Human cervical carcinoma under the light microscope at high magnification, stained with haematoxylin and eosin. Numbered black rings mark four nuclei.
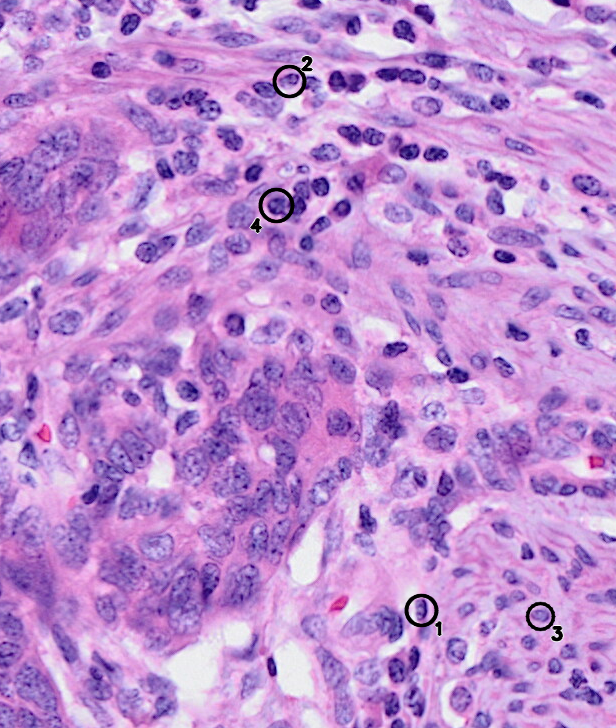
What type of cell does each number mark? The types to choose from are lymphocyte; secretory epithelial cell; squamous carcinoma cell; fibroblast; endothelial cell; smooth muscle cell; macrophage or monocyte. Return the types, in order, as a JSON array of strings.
["lymphocyte", "lymphocyte", "smooth muscle cell", "lymphocyte"]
